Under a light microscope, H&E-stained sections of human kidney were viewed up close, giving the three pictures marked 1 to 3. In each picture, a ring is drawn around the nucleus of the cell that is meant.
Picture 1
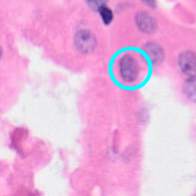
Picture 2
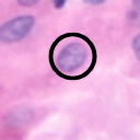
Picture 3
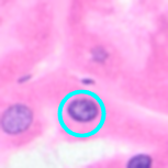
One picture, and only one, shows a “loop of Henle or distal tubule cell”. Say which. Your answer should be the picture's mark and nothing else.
1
